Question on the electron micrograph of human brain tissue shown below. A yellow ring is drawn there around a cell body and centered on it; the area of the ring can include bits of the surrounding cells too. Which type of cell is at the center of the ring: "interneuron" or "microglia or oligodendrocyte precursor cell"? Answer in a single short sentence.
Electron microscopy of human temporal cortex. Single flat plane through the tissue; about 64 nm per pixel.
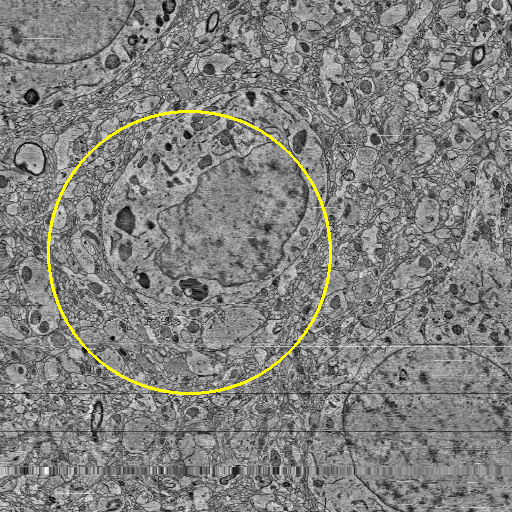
The ring is centered on an interneuron.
